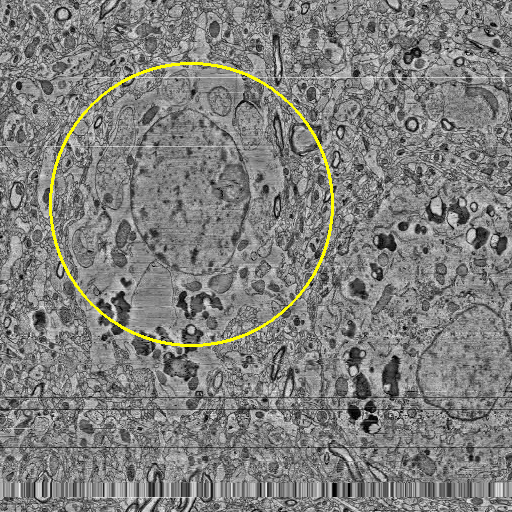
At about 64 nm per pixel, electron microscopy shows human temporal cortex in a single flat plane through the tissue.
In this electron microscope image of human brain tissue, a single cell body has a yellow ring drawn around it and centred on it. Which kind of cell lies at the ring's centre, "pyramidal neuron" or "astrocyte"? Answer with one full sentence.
It is an astrocyte whose cell body lies at the centre of the yellow ring here.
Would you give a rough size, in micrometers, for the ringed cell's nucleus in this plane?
In this plane, the nucleus of the cell at the centre of the ring measures about 11 by 8 micrometres.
